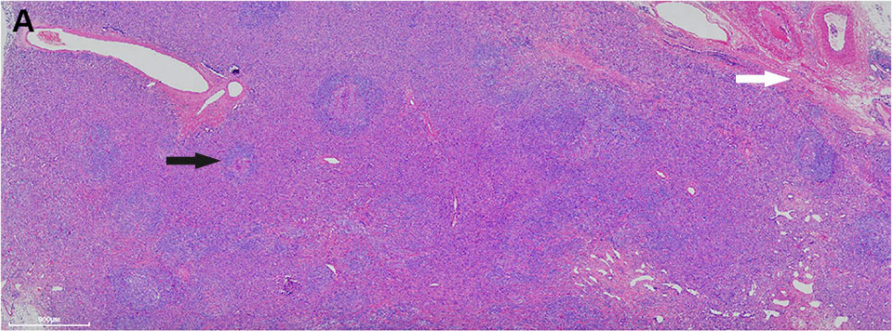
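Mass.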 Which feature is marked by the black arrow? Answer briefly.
lymphoid follicles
